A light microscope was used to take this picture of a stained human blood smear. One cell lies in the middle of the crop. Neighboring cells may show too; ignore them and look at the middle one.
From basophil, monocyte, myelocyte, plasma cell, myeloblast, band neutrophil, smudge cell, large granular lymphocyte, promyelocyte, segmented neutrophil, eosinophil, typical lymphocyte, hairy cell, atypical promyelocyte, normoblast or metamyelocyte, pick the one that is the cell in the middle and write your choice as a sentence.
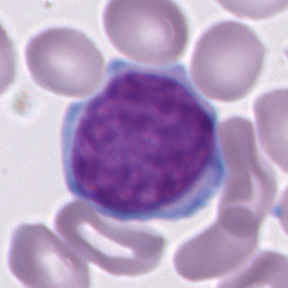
For this crop, the central cell is a myeloblast.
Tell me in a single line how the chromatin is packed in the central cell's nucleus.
Just so you know, its chromatin is coarsely clumped.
